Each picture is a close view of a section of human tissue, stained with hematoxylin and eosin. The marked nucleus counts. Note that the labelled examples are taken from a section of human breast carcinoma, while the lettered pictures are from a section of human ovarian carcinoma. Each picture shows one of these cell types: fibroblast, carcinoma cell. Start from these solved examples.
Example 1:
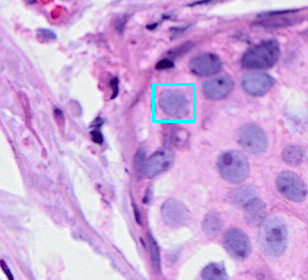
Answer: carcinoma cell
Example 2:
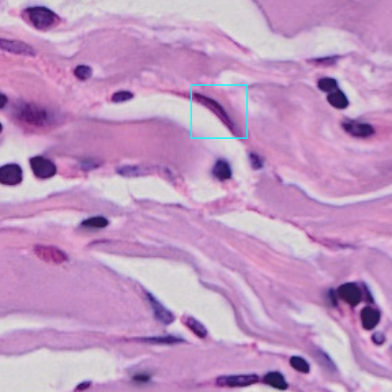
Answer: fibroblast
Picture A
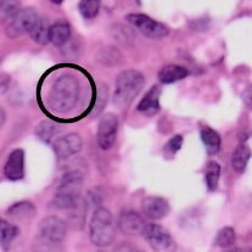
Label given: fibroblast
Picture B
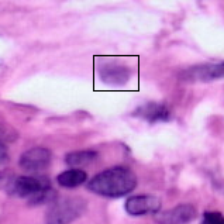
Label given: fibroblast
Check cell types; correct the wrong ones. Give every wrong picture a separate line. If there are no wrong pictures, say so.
A: change fibroblast to carcinoma cell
